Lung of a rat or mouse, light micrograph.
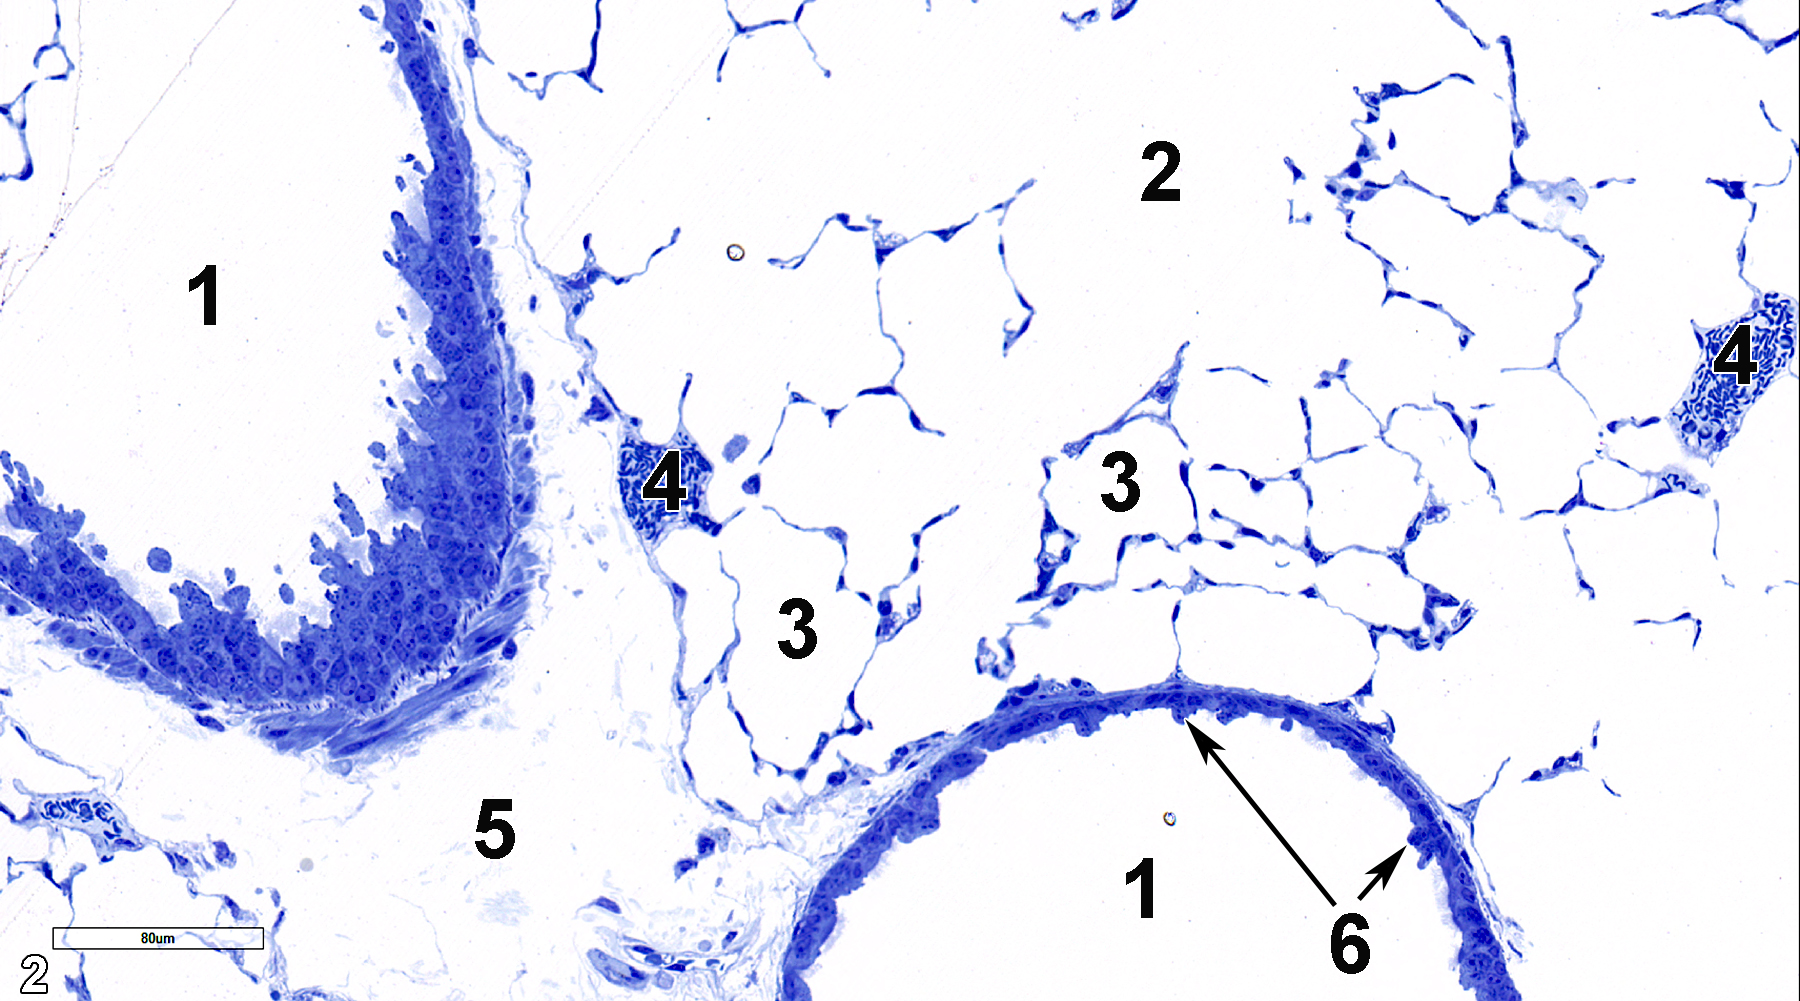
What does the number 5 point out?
The number 5 marks the connective tissue septum.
